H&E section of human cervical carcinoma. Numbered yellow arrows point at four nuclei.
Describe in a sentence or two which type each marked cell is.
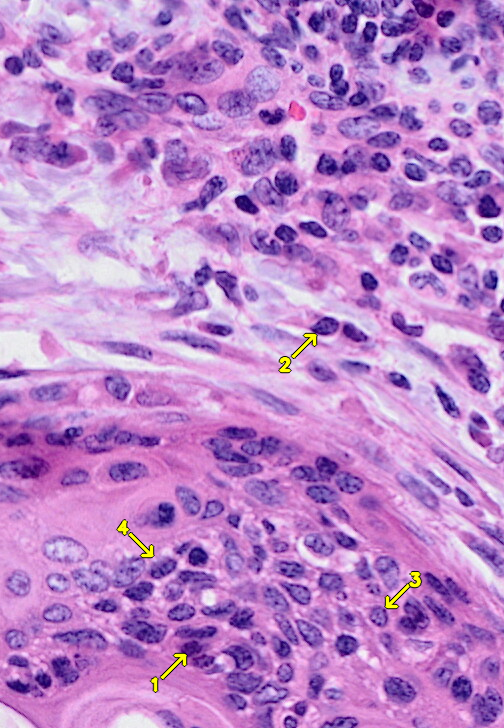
Cell 1 is a squamous carcinoma cell, cell 2 is a lymphocyte, cell 3 is a squamous carcinoma cell and cell 4 is a squamous carcinoma cell.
